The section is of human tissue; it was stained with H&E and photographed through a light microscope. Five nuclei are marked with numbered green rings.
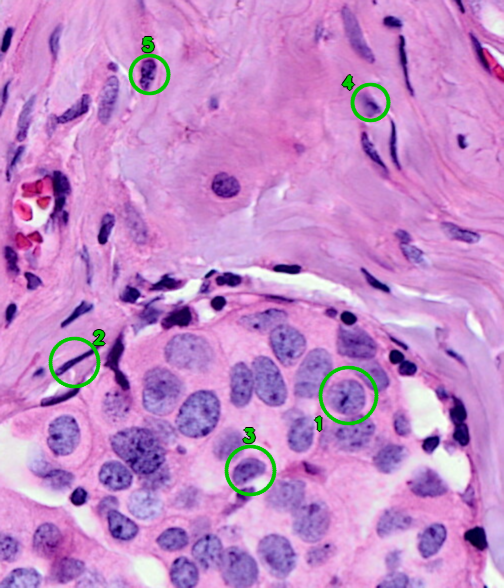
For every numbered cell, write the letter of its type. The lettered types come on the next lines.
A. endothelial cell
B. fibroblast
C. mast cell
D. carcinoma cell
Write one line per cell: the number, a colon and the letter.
1: D
2: B
3: D
4: B
5: C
